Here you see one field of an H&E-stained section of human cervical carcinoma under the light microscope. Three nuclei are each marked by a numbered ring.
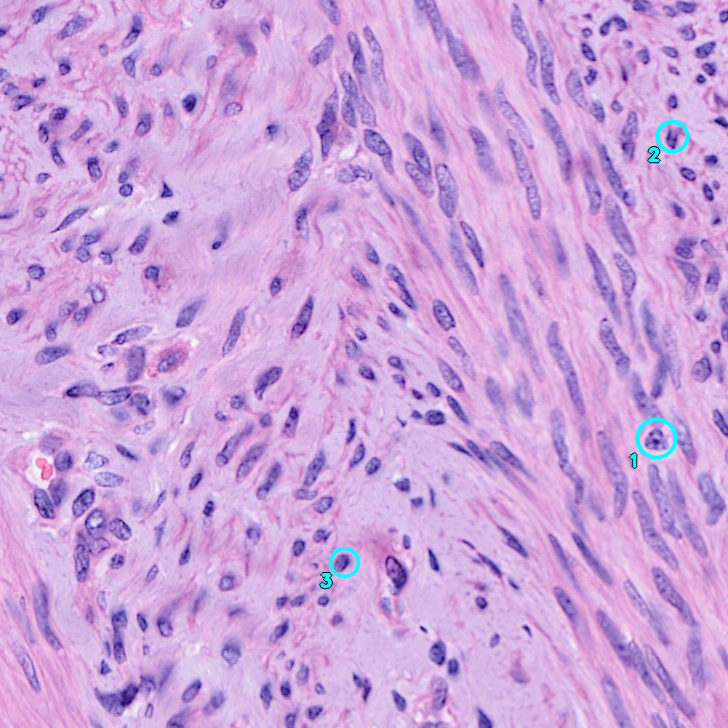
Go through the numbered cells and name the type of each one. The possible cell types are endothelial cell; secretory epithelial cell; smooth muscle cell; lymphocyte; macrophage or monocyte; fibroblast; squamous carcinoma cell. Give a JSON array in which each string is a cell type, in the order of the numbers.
["lymphocyte", "smooth muscle cell", "smooth muscle cell"]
